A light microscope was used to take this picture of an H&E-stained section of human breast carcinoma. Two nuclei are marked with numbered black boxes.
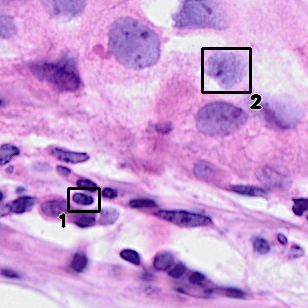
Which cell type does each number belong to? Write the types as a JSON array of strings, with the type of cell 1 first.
["lymphocyte", "carcinoma cell"]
